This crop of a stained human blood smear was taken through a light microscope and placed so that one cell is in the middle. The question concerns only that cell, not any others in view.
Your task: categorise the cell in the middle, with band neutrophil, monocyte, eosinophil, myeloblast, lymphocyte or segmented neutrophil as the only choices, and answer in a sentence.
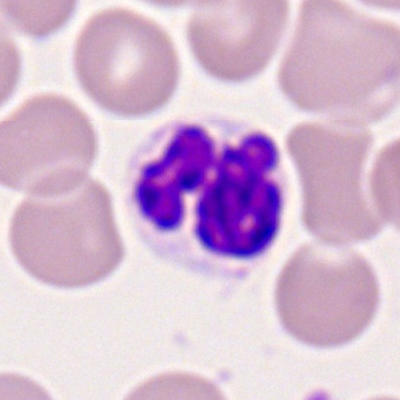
Within this crop, a segmented neutrophil occupies the central position.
